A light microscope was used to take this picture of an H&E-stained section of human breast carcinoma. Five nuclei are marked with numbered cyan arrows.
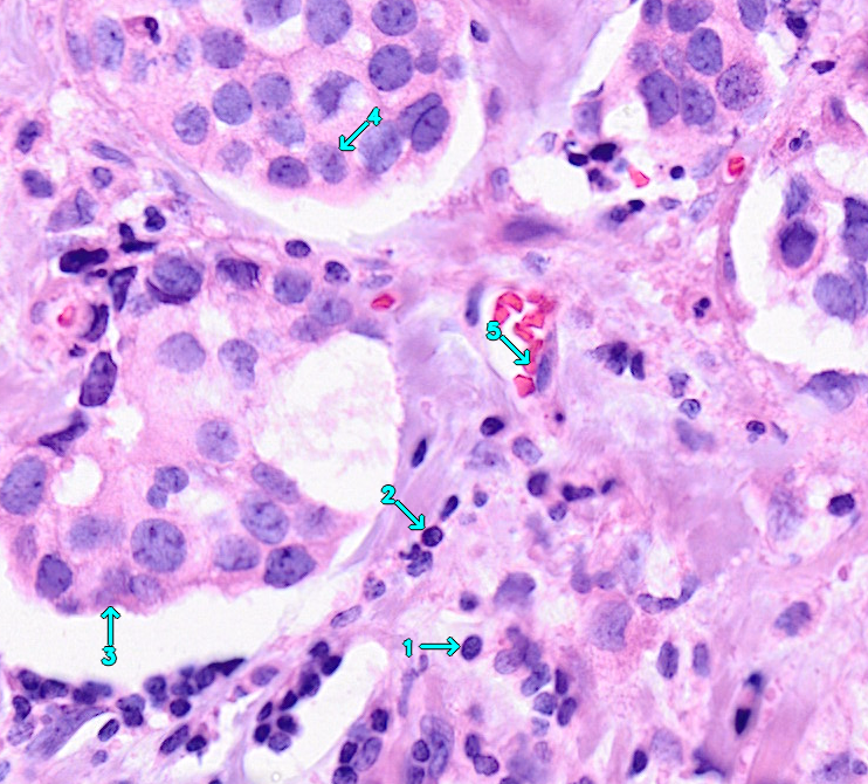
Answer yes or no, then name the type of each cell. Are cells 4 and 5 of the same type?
No, cell 4 is a carcinoma cell and cell 5 is an endothelial cell.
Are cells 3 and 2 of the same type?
No, cell 3 is a carcinoma cell and cell 2 is a lymphocyte.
